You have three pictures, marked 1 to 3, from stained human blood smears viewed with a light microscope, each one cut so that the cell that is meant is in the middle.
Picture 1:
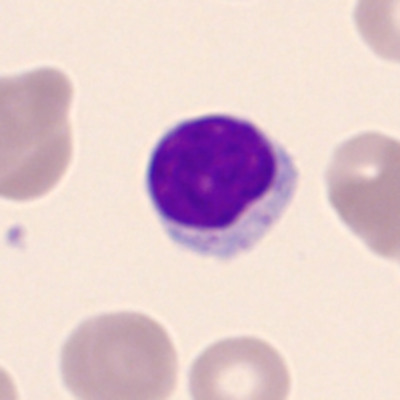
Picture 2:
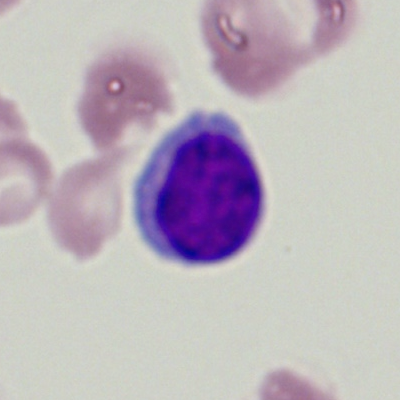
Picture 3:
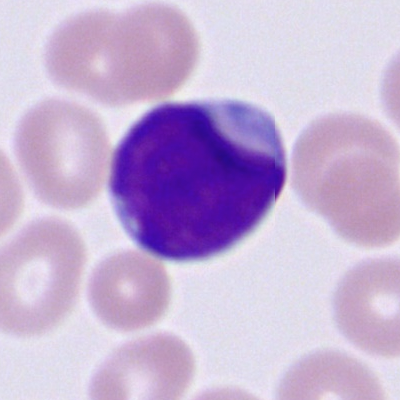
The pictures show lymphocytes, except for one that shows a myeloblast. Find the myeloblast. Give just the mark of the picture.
3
